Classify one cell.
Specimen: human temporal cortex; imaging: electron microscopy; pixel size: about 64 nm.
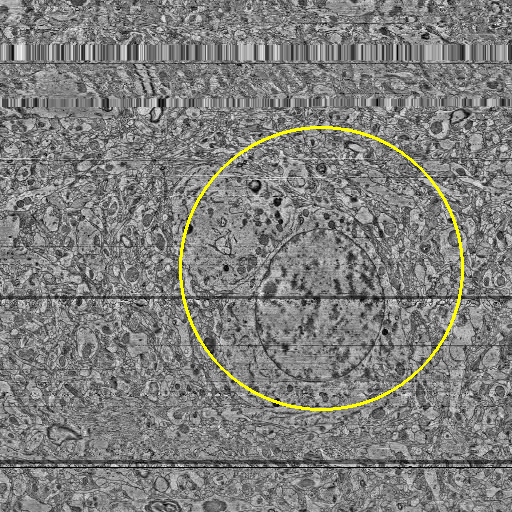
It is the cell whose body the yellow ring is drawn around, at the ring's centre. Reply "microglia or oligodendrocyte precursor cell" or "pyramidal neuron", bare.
pyramidal neuron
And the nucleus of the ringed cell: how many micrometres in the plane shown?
In this plane the nucleus is about 11 micrometres by 9.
